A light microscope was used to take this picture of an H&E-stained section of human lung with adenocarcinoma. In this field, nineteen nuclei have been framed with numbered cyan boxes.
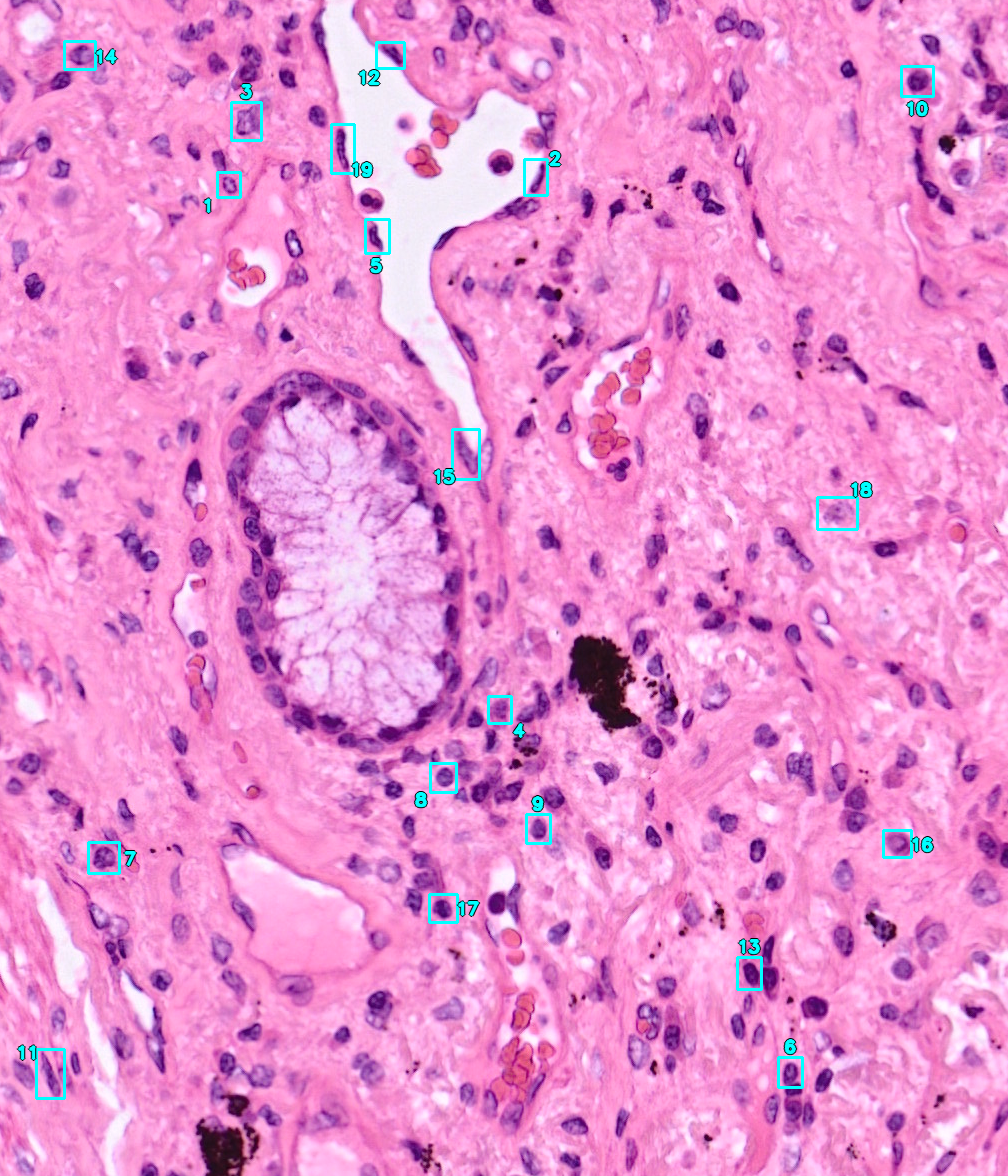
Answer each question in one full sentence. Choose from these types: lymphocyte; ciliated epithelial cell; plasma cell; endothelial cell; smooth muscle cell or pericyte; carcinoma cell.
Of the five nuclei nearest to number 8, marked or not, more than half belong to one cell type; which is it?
Plasma cells make up most of the five nuclei closest to number 8.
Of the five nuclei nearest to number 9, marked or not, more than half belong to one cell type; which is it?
Plasma cells account for more than half of the five nuclei nearest to number 9.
